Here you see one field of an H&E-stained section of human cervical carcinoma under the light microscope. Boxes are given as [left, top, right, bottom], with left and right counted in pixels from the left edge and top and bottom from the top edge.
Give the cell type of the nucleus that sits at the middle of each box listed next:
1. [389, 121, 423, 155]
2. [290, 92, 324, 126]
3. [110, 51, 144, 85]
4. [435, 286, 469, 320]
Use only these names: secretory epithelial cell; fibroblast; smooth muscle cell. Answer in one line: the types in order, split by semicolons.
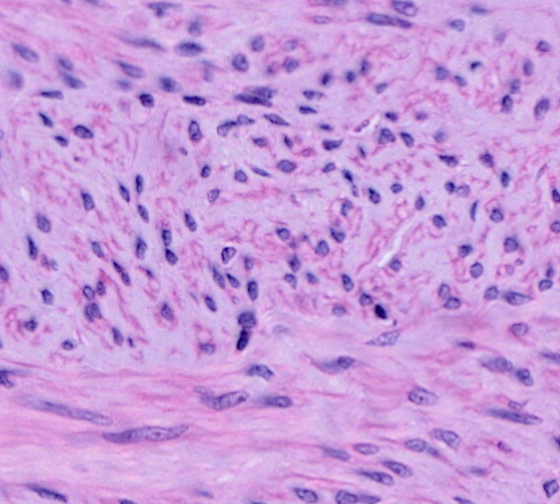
smooth muscle cell; fibroblast; smooth muscle cell; smooth muscle cell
